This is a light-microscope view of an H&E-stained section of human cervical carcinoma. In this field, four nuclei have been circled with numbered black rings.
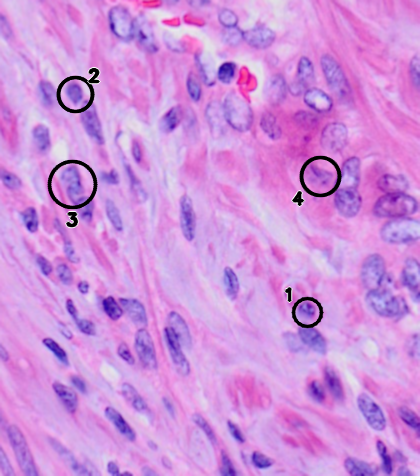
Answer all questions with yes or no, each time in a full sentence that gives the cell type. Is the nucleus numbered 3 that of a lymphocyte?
No, the cell referred to as 3 is an endothelial cell, not a lymphocyte.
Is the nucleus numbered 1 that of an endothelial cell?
No, the cell under number 1 is a smooth muscle cell, not an endothelial cell.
